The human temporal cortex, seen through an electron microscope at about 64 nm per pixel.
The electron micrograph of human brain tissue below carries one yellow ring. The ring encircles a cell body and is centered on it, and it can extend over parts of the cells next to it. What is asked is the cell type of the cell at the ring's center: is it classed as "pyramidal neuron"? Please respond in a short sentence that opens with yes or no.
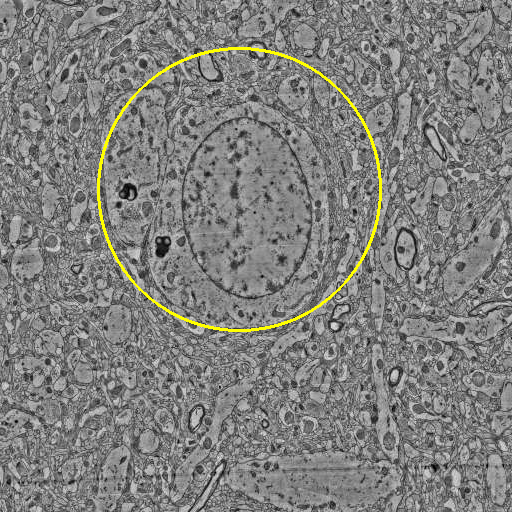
Yes, it is classed that way.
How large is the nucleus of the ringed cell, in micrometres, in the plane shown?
In this plane, roughly 12 by 8 micrometres.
